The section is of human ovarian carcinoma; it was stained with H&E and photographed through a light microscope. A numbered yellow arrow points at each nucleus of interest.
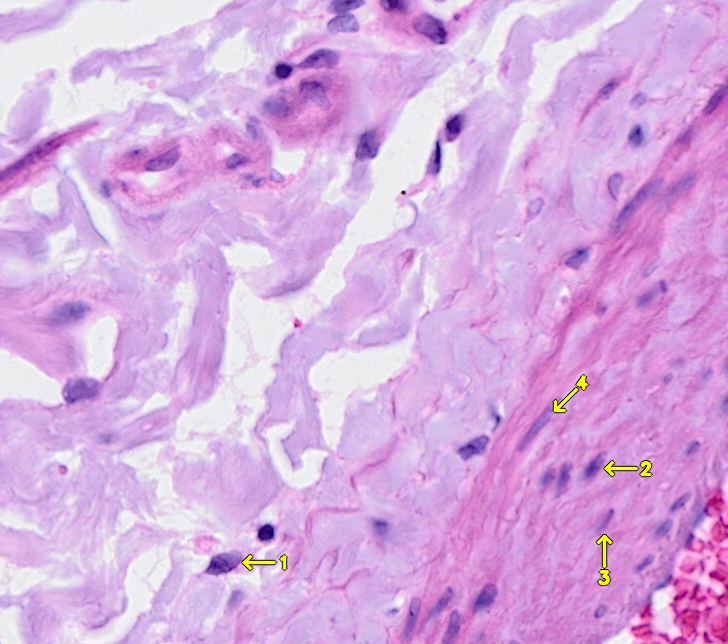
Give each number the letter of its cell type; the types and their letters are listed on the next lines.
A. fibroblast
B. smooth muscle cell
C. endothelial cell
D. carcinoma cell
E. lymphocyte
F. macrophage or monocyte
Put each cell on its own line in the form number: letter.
1: A
2: B
3: B
4: B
